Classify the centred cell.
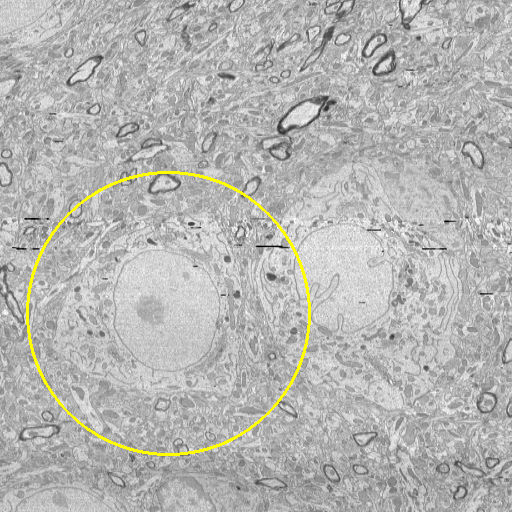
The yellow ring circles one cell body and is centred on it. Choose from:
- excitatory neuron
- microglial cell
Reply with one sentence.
The ring is centred on an excitatory neuron.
